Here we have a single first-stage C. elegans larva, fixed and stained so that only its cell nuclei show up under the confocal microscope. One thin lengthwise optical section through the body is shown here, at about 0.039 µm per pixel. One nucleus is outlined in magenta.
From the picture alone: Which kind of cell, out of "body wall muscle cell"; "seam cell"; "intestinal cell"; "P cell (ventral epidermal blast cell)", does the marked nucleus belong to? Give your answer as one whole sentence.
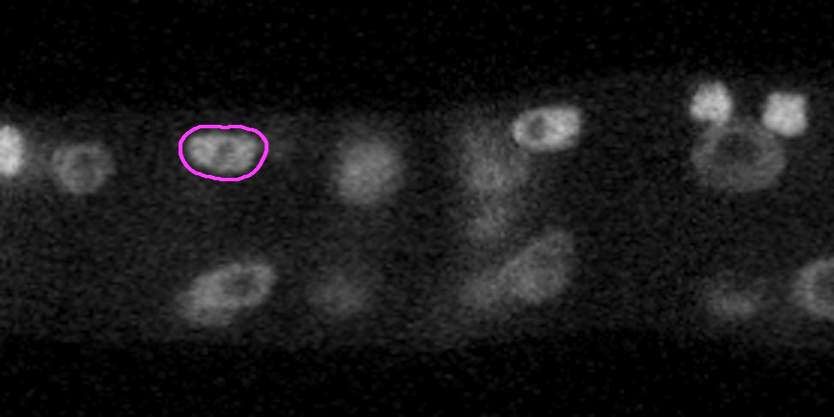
The marked nucleus belongs to a body wall muscle cell.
